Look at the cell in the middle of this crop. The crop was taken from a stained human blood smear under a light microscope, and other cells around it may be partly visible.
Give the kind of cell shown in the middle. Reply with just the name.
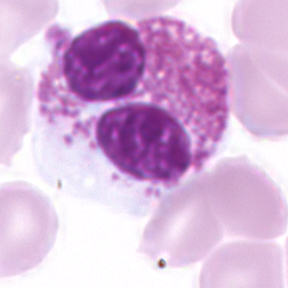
eosinophil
